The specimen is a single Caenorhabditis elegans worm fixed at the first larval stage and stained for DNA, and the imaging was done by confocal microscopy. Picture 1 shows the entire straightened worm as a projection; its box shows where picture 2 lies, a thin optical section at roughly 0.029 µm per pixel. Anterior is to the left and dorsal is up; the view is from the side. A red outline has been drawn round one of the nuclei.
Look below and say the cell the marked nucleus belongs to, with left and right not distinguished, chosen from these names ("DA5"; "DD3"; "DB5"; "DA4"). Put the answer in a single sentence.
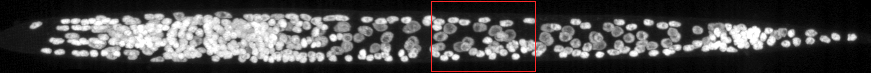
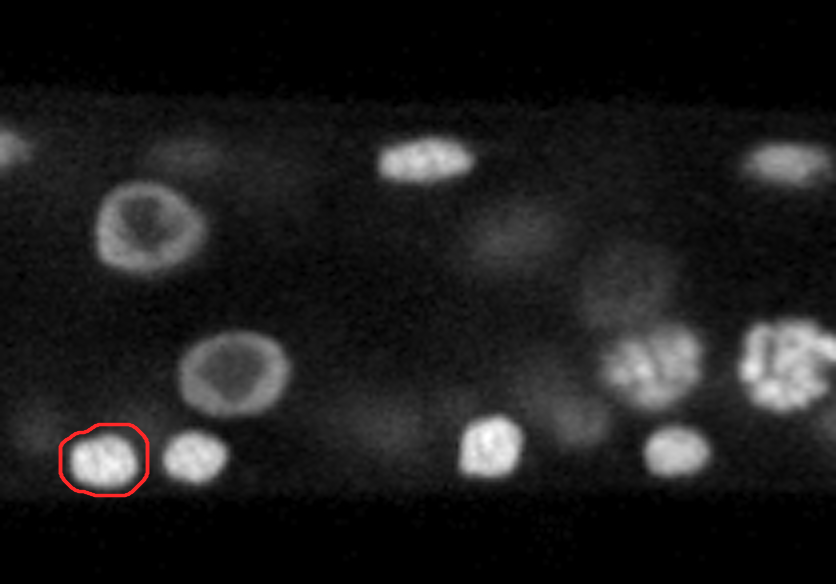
The marked cell is DA4, a neuron.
